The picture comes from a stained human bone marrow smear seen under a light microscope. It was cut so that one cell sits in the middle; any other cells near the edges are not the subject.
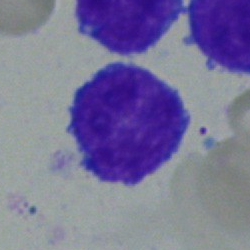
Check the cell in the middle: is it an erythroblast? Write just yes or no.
no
